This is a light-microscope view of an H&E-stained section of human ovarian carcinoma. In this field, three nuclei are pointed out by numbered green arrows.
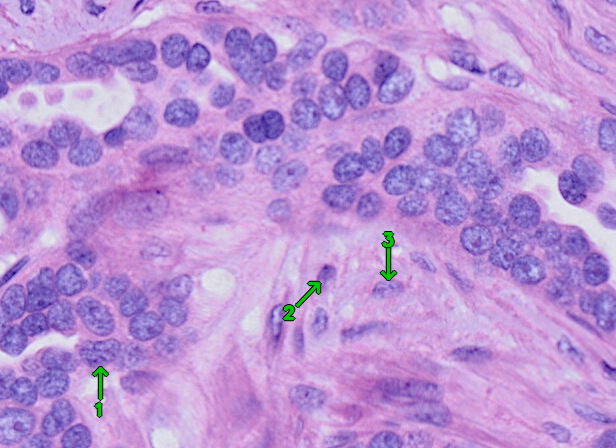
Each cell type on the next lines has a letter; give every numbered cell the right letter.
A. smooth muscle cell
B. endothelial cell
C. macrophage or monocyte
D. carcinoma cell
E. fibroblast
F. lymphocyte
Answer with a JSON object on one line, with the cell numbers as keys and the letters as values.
{"1": "D", "2": "E", "3": "E"}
